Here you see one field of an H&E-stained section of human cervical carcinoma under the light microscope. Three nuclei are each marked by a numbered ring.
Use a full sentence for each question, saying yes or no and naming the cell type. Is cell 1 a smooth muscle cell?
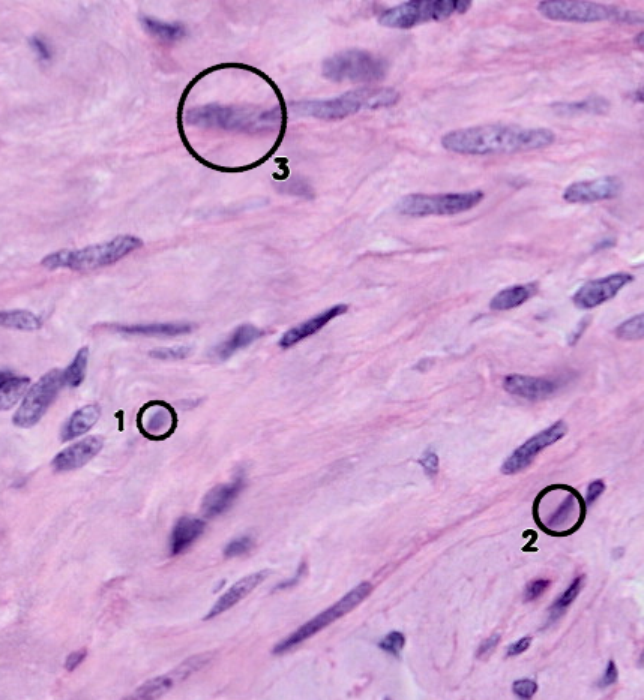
No, number 1 points to a fibroblast and not to a smooth muscle cell.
